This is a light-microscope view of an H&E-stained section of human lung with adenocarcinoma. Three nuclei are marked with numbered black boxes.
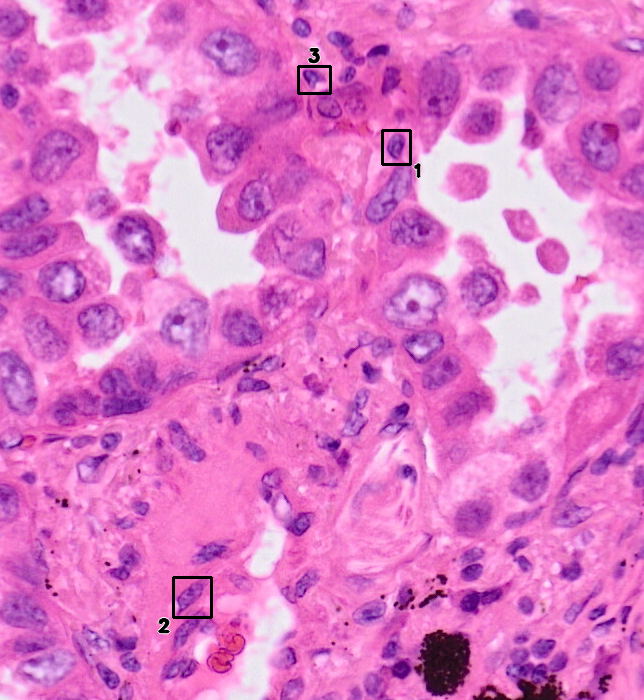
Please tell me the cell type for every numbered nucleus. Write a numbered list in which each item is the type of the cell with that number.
1. lymphocyte
2. smooth muscle cell or pericyte
3. lymphocyte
